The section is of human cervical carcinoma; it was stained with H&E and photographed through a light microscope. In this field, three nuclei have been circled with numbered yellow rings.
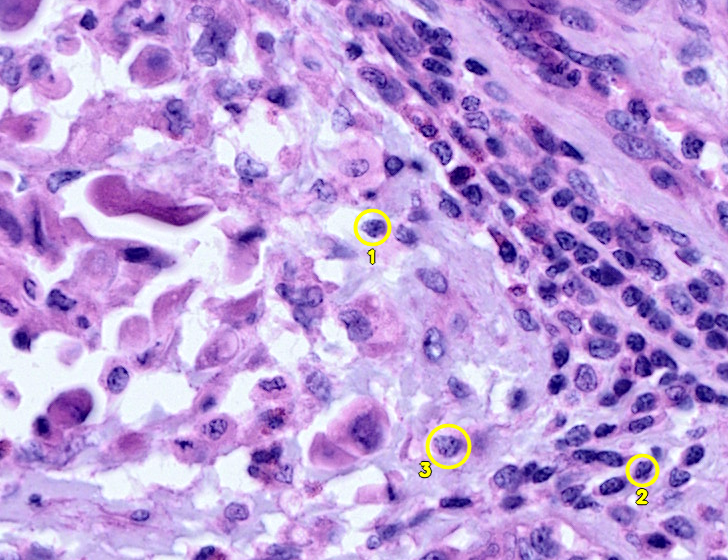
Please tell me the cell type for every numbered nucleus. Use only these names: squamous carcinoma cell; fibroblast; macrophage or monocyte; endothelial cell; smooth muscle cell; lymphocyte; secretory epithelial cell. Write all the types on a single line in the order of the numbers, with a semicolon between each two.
lymphocyte; lymphocyte; macrophage or monocyte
